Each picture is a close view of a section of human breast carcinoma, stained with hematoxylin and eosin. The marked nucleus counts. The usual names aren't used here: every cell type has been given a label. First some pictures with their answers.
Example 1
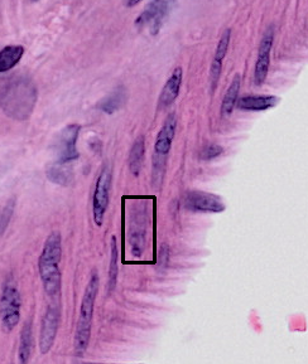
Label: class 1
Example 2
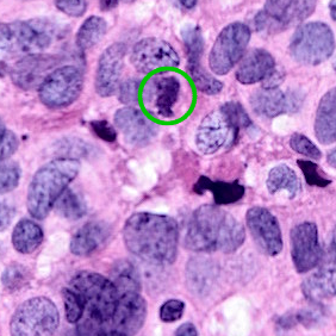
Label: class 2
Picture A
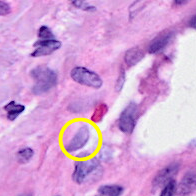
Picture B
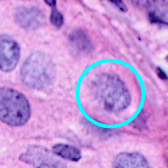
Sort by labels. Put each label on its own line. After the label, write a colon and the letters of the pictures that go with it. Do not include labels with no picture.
class 1: A
class 2: B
